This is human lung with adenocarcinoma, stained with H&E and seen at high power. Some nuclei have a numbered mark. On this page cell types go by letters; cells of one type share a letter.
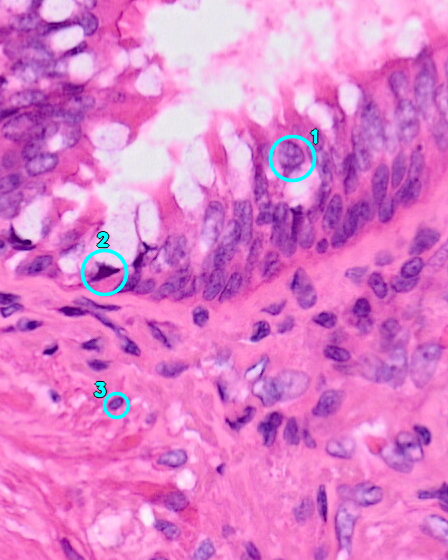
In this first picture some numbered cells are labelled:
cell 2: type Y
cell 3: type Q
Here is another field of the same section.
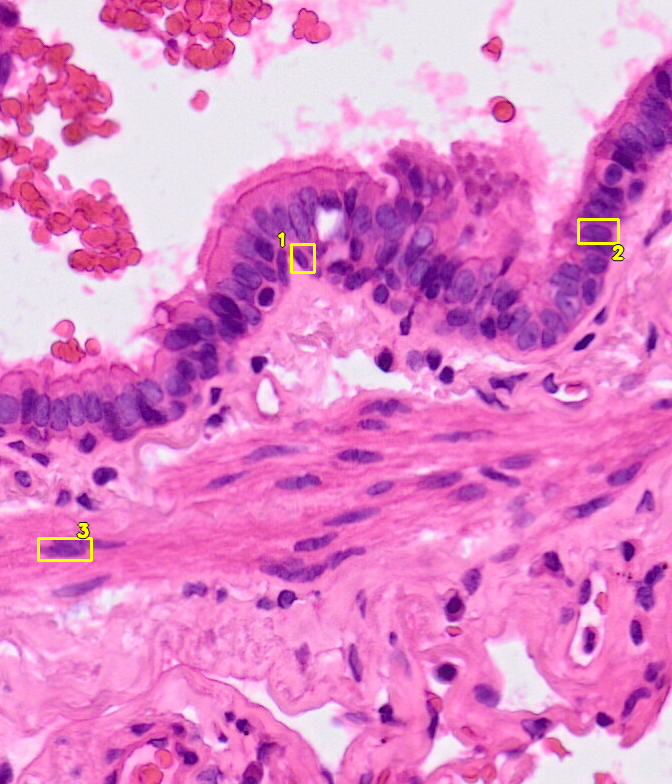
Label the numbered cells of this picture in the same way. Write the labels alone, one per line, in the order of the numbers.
type Y
type Y
type Q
